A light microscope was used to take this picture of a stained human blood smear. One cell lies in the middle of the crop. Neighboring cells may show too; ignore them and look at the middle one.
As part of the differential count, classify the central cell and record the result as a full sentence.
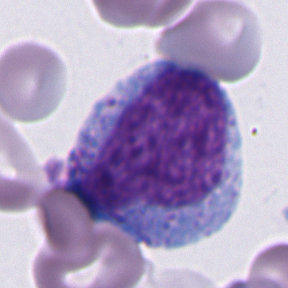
Whatever else lies nearby, the middle cell is a promyelocyte.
